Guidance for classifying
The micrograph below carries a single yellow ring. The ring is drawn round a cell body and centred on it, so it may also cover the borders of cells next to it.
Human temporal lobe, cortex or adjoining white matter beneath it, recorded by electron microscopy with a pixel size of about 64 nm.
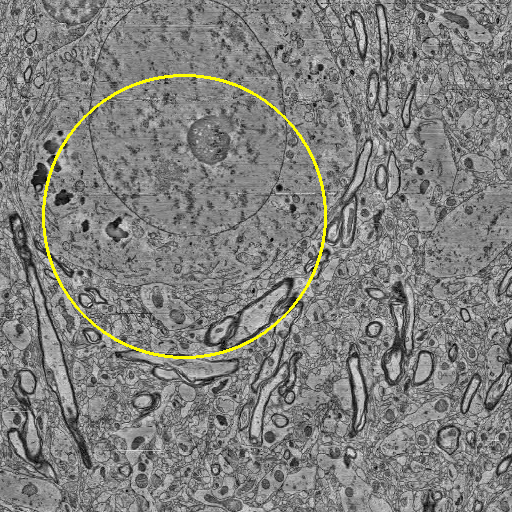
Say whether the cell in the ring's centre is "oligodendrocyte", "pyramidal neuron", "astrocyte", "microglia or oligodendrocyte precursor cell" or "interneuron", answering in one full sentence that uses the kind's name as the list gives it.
Within the yellow ring, a pyramidal neuron is the cell whose body sits at the centre.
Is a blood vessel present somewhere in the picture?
No, the image shows no blood vessel.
